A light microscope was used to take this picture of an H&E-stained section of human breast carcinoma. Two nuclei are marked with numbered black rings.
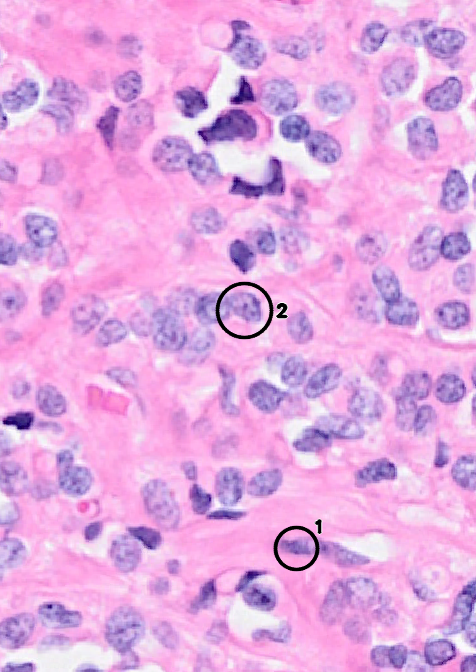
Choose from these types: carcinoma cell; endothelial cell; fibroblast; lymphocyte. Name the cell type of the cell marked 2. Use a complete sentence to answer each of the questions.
Regarding cell 2, this one is a carcinoma cell.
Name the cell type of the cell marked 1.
Among the marked nuclei, number 1 belongs to an endothelial cell.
